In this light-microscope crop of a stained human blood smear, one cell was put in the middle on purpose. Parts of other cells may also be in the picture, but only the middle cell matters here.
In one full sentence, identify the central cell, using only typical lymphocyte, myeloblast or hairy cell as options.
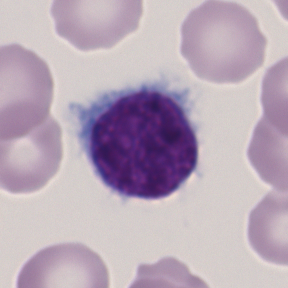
For this crop, the central cell is a hairy cell.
